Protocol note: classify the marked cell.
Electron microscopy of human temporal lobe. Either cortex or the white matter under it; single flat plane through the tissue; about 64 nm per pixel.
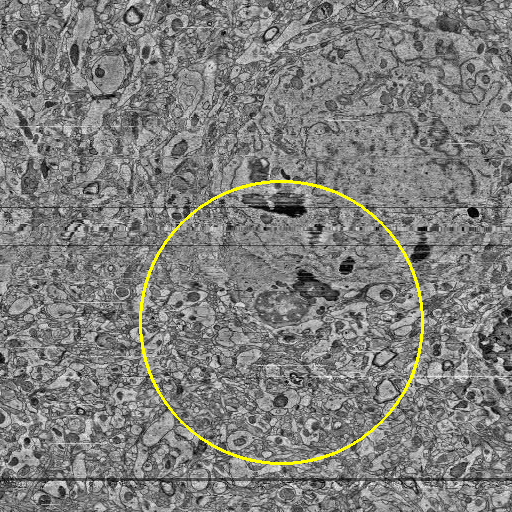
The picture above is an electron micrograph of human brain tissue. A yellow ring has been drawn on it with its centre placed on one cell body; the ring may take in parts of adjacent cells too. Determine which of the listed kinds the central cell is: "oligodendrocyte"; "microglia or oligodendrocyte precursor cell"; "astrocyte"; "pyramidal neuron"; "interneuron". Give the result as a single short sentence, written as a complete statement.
The central cell is an oligodendrocyte.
